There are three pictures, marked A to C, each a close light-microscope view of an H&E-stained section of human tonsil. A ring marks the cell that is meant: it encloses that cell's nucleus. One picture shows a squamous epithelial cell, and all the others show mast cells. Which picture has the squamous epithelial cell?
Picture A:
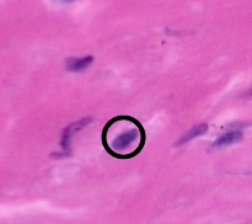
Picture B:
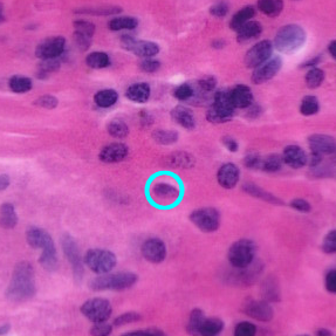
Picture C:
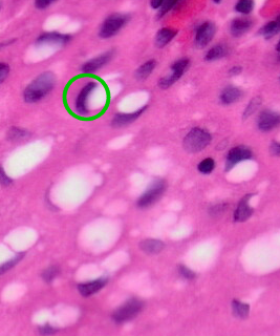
C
